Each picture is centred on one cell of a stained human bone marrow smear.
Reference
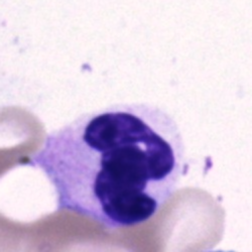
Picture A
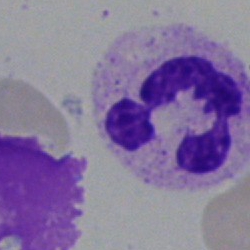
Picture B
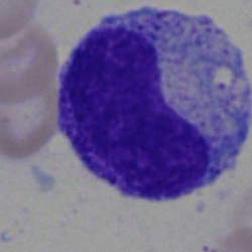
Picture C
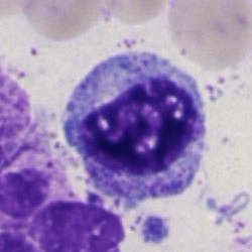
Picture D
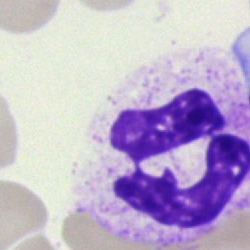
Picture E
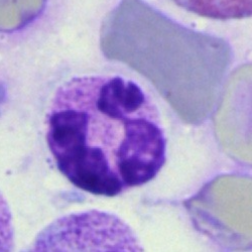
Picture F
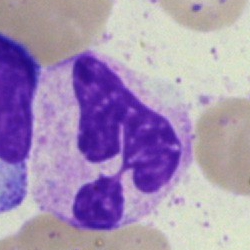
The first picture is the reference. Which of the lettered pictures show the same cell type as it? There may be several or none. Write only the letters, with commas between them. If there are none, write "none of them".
A, D, E, F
